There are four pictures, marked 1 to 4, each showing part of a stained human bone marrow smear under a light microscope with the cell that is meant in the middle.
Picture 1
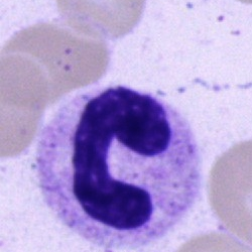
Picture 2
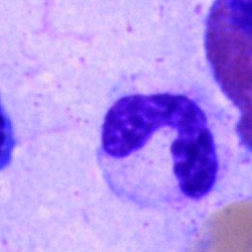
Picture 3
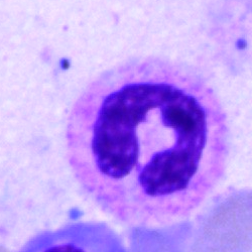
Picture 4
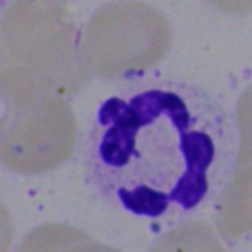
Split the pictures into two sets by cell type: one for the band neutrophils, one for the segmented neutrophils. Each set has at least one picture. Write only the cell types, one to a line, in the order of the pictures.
band neutrophil
band neutrophil
segmented neutrophil
segmented neutrophil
